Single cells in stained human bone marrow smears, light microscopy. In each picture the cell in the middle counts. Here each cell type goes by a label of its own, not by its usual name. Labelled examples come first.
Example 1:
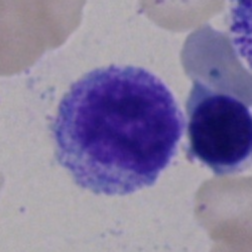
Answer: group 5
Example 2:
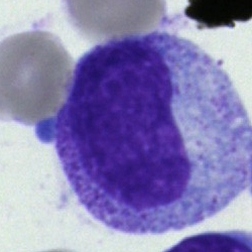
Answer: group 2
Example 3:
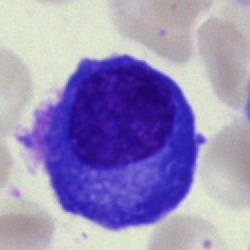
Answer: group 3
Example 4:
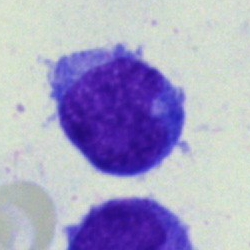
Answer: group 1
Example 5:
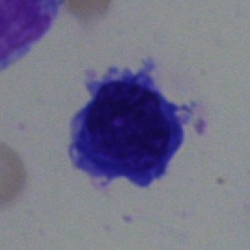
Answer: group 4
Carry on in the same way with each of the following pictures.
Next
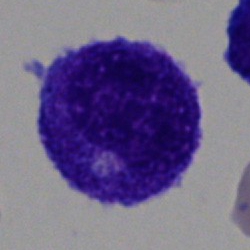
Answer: group 2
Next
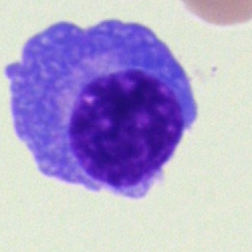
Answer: group 3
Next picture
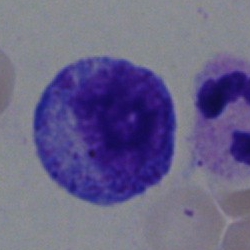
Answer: group 2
